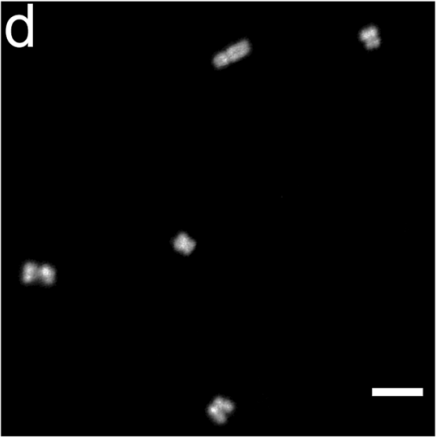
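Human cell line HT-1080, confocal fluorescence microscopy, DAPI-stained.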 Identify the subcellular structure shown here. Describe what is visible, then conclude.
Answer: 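Isolated bright bodies made of two parallel arms joined at a constriction. No cell or nucleus outline around them. The answer: mitotic chromosomes.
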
